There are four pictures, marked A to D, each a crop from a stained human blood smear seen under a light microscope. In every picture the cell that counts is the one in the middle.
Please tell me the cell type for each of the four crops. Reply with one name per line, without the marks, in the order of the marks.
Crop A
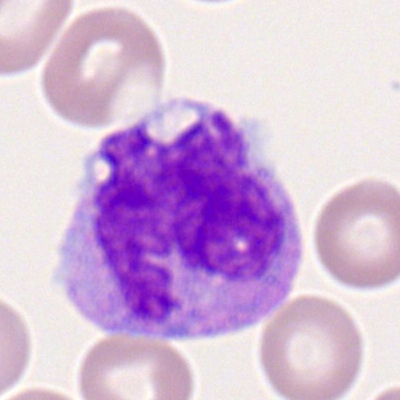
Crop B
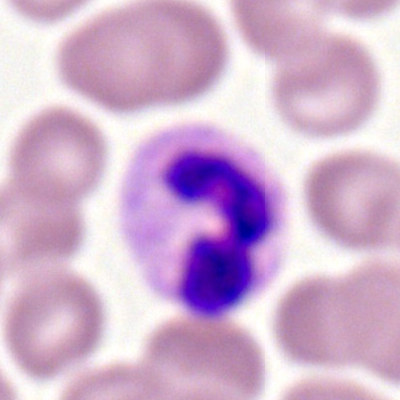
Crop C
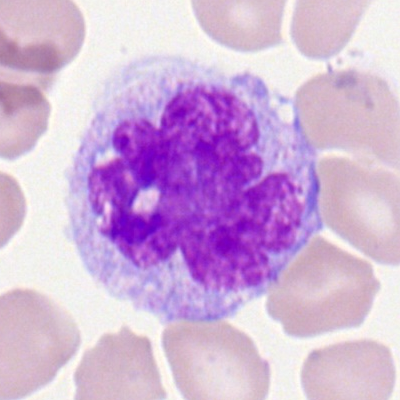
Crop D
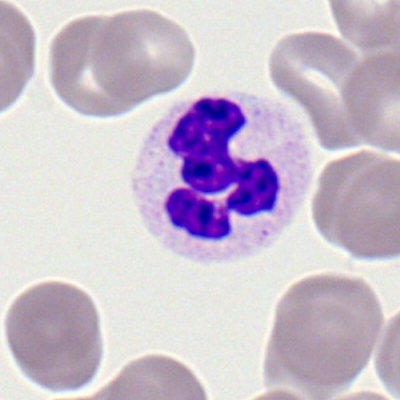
monocyte
neutrophil
monocyte
neutrophil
